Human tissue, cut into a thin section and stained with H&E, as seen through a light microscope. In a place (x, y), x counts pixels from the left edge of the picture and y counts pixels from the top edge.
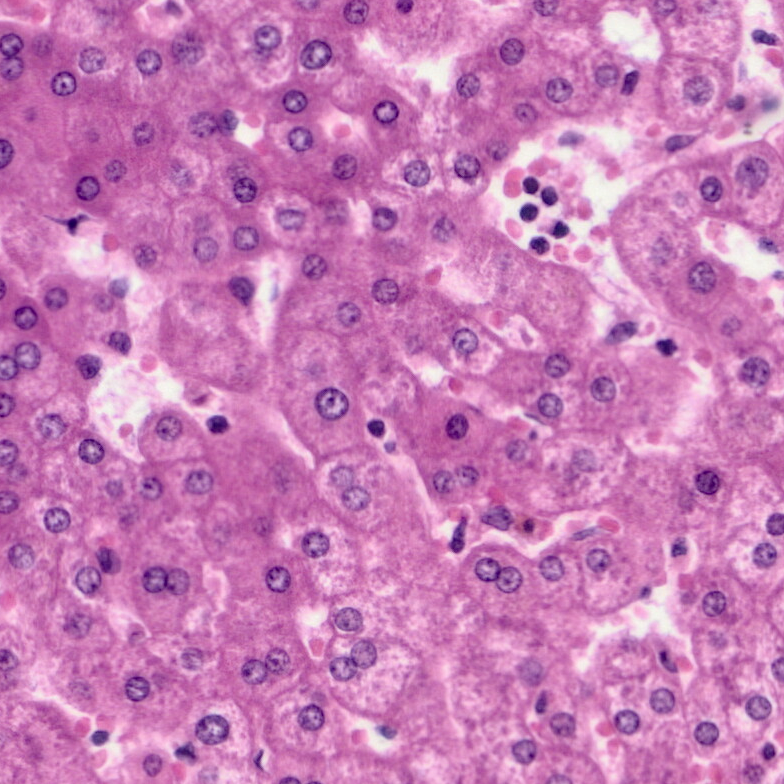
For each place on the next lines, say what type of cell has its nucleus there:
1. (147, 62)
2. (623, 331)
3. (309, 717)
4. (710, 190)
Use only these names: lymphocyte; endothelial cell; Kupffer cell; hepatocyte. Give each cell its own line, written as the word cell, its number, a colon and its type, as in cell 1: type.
cell 1: hepatocyte
cell 2: Kupffer cell
cell 3: hepatocyte
cell 4: hepatocyte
